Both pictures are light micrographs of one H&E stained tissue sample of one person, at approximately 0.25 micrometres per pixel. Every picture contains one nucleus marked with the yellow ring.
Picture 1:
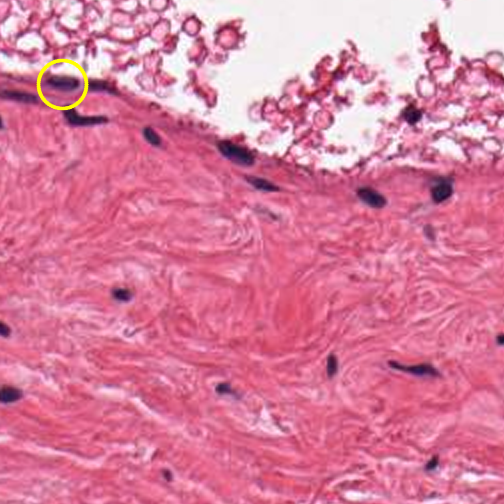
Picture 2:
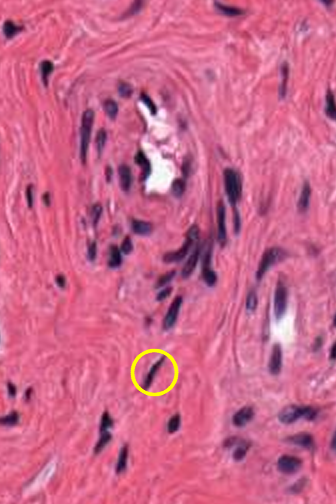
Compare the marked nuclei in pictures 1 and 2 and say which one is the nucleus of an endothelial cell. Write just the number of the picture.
1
